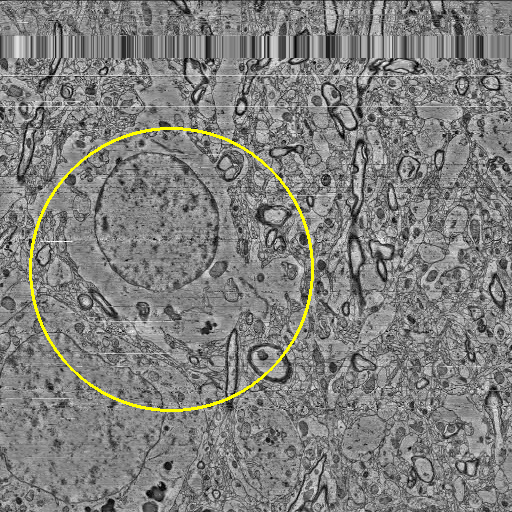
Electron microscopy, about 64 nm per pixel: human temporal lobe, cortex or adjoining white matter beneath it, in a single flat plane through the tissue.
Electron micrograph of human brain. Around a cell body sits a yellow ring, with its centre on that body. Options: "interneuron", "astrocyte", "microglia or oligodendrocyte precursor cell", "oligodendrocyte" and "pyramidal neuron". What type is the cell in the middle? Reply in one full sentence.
The cell sitting at the centre of the yellow ring is an astrocyte.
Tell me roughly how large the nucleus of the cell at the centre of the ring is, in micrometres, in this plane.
Approximately 9 x 8 micrometres in this plane.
